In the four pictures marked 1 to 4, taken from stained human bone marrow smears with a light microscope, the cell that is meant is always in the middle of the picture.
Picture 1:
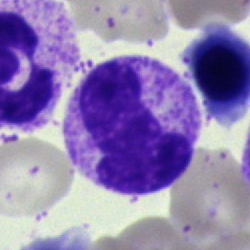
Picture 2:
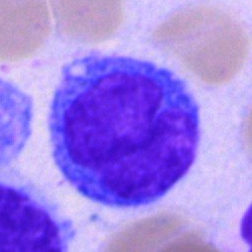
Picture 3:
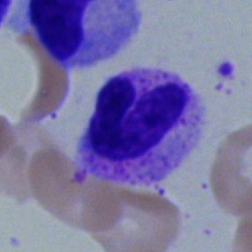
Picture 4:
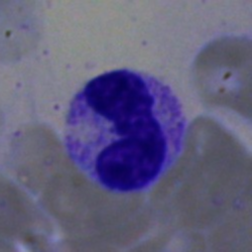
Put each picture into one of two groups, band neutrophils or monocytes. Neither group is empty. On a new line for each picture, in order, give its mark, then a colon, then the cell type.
1: band neutrophil
2: monocyte
3: band neutrophil
4: band neutrophil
